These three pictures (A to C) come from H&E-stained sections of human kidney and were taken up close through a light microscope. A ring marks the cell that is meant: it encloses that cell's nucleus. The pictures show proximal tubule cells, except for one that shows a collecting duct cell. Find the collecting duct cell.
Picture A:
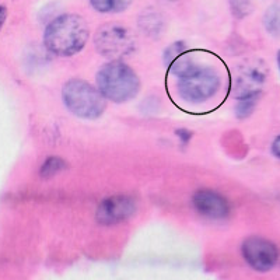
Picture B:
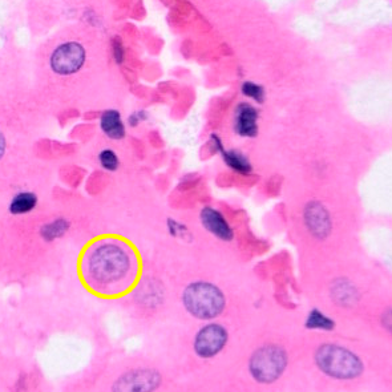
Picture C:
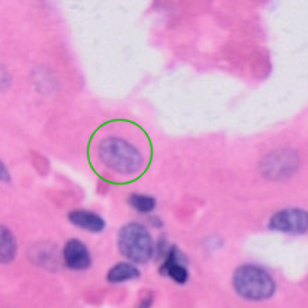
A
